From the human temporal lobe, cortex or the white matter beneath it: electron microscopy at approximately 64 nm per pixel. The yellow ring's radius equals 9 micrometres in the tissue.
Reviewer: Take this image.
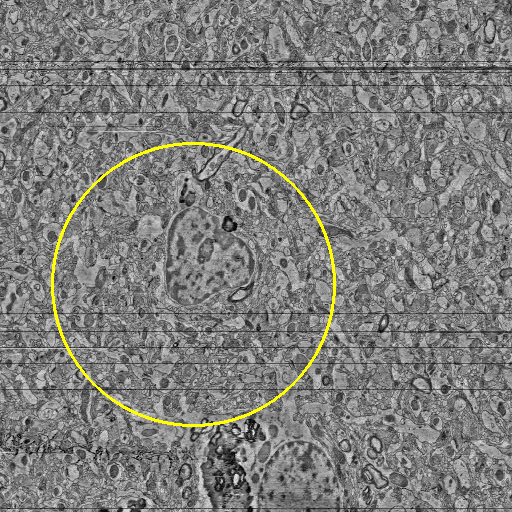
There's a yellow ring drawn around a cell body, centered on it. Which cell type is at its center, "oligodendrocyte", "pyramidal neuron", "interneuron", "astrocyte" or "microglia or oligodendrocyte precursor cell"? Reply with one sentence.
At the center of the yellow ring is a microglial cell or oligodendrocyte precursor cell.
